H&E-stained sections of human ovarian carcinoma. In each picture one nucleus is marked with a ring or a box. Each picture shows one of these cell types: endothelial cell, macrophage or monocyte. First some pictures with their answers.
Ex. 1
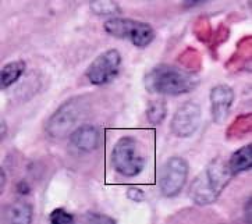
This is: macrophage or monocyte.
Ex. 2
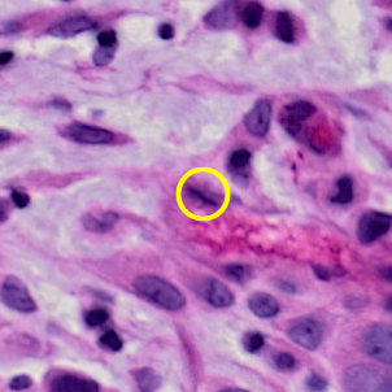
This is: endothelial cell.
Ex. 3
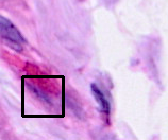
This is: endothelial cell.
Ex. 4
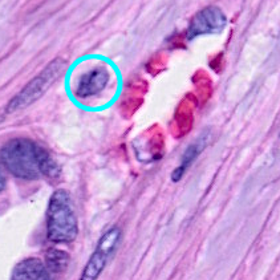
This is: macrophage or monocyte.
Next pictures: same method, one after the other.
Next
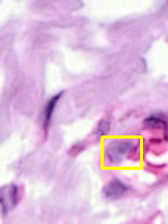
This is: endothelial cell.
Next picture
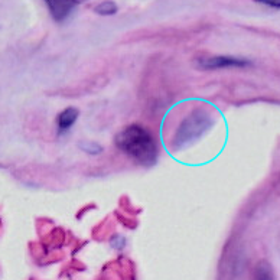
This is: endothelial cell.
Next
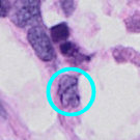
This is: macrophage or monocyte.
